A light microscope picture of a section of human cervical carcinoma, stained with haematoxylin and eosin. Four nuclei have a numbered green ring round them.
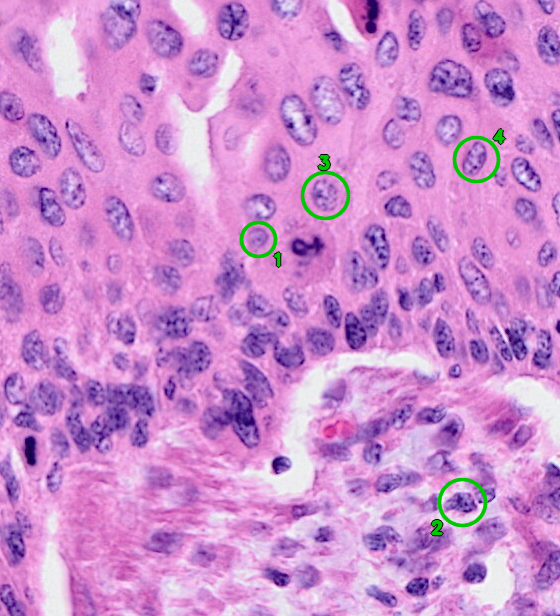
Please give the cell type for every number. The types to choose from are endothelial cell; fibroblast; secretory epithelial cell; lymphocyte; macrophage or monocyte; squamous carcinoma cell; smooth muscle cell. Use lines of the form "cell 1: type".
cell 1: squamous carcinoma cell
cell 2: lymphocyte
cell 3: squamous carcinoma cell
cell 4: squamous carcinoma cell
